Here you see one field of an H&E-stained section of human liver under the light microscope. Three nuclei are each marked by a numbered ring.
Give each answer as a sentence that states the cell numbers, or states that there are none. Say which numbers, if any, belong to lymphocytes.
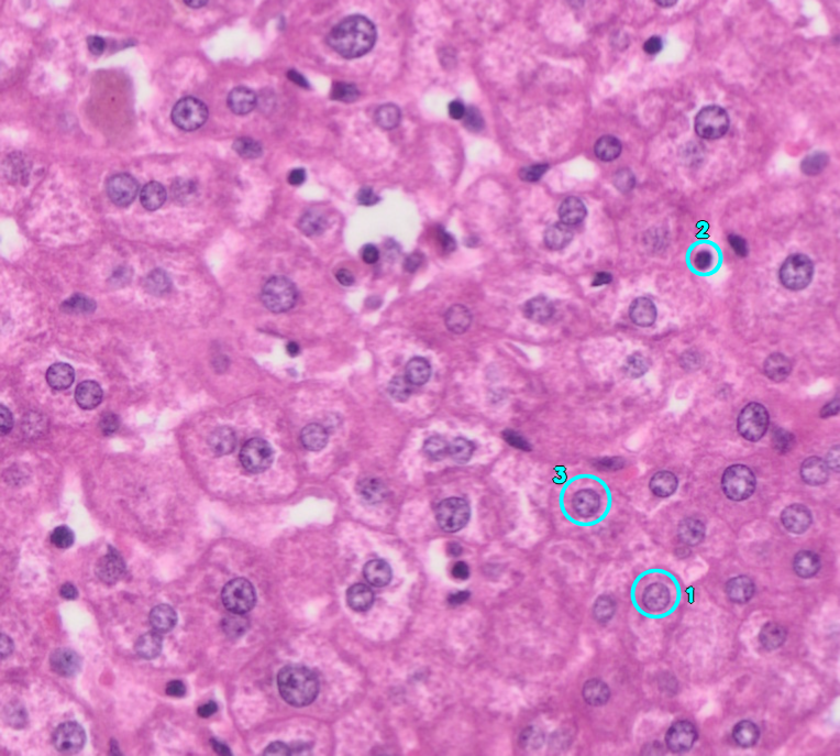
Just one of the numbered cells is a lymphocyte, namely number 2.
